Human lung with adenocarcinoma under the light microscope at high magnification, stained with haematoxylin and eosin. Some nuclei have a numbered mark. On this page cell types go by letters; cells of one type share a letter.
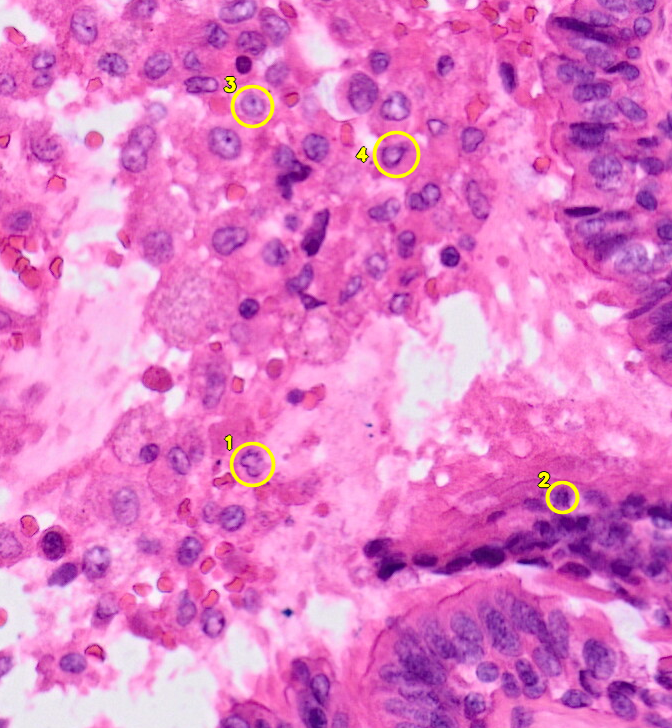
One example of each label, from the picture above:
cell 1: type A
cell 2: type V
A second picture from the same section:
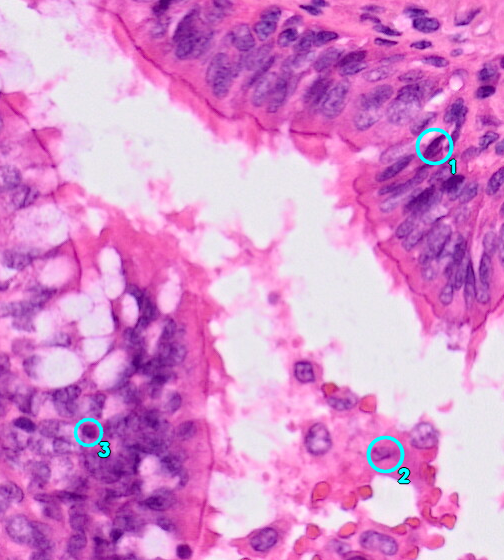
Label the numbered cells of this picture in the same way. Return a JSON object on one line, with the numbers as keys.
{"1": "type V", "2": "type A", "3": "type V"}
